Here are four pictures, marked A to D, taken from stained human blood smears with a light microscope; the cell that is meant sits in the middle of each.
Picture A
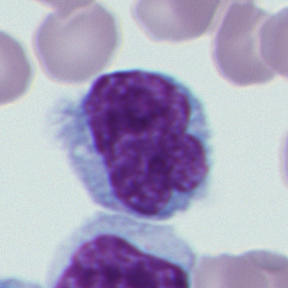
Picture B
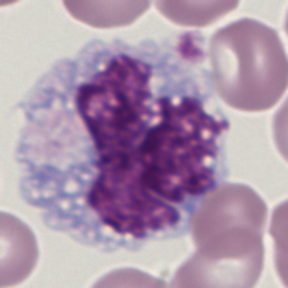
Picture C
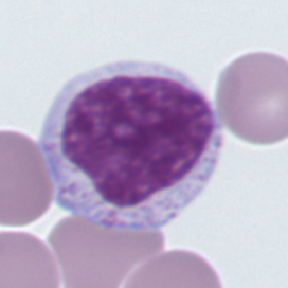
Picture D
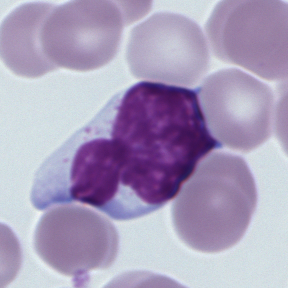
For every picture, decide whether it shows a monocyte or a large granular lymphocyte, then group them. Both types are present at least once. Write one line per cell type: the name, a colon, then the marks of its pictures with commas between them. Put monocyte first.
monocyte: A, B
large granular lymphocyte: C, D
